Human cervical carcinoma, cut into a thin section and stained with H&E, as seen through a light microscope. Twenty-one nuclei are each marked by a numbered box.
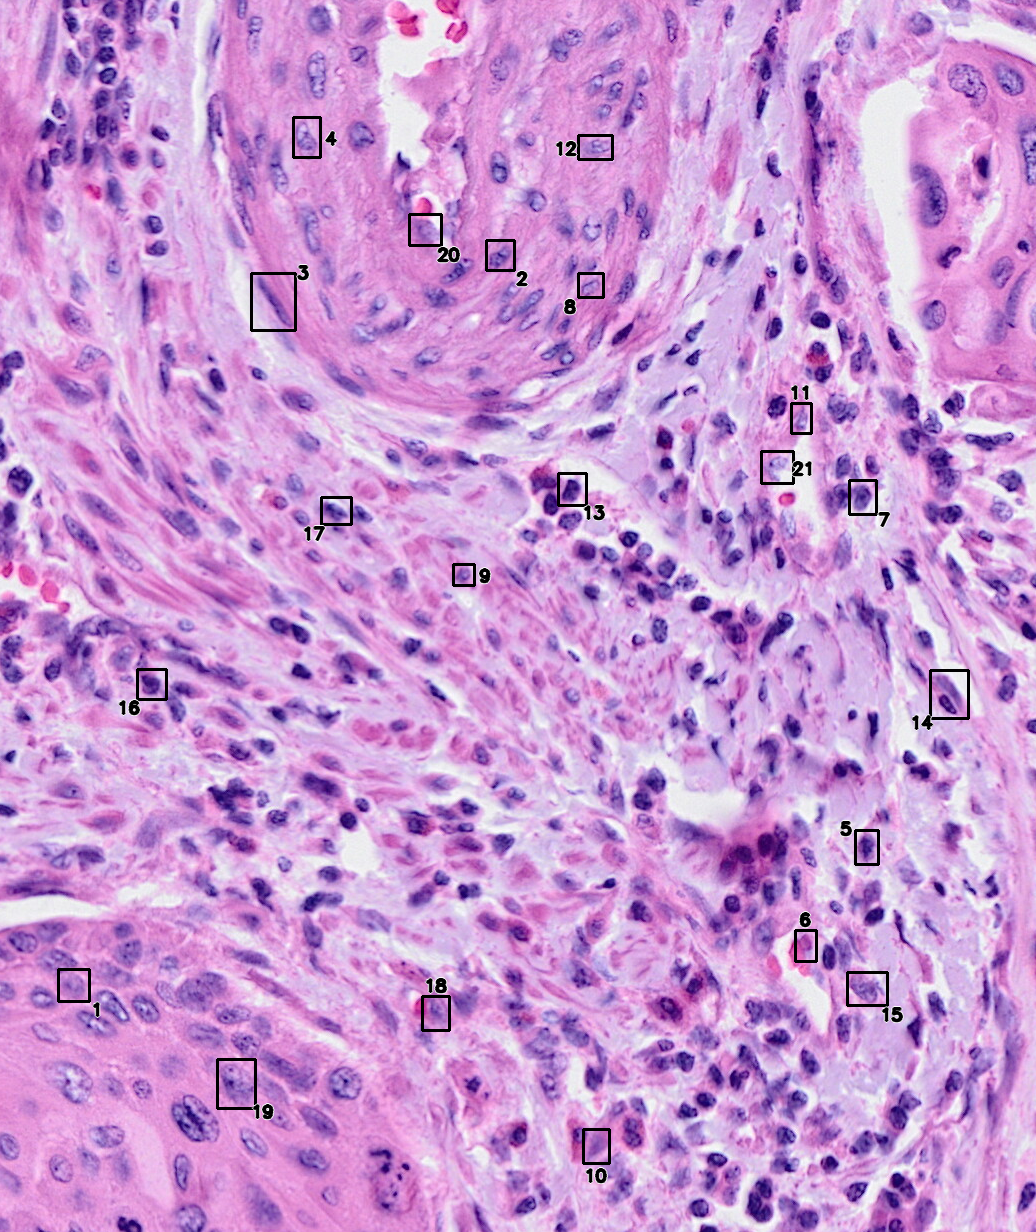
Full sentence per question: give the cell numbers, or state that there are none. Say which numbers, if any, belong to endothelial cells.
The cells with the numbers 6, 10, 11, 18, 20 and 21 are endothelial cells.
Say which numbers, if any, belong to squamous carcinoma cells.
The cells picked out by numbers 1 and 19 are squamous carcinoma cells.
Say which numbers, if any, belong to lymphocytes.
The cells marked with the numbers 5, 7, 13, 16 and 17 are lymphocytes.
